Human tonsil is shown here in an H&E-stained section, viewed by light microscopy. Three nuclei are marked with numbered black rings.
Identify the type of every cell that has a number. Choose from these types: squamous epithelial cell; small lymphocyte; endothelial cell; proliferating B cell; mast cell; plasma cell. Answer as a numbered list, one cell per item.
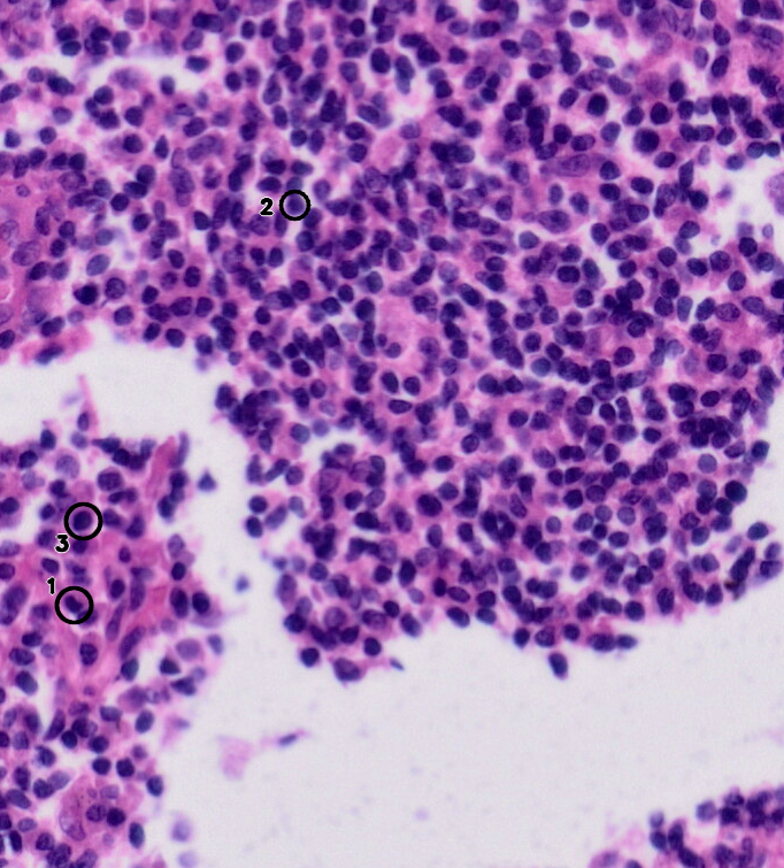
1. plasma cell
2. small lymphocyte
3. plasma cell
